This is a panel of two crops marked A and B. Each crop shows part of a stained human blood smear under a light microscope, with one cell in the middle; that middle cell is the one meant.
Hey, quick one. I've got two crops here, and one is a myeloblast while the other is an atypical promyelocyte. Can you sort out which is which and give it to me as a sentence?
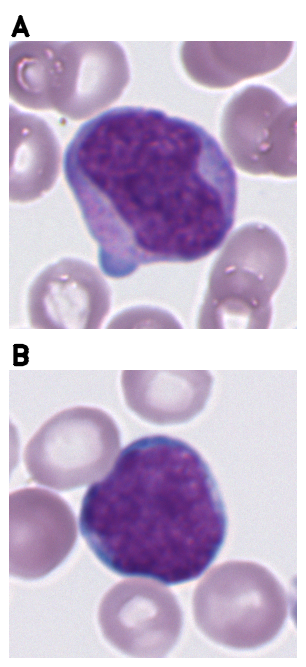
To sum up the two crops, crop A is an atypical promyelocyte and crop B is a myeloblast.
